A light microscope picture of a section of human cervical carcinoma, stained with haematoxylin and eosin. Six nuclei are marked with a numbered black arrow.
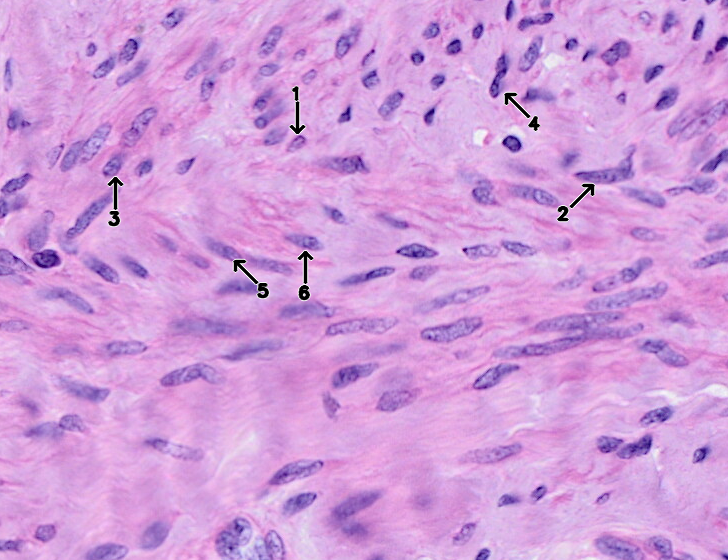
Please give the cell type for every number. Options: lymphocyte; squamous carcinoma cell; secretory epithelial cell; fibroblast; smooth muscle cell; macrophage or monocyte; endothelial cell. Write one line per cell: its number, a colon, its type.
1: smooth muscle cell
2: fibroblast
3: smooth muscle cell
4: fibroblast
5: smooth muscle cell
6: smooth muscle cell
